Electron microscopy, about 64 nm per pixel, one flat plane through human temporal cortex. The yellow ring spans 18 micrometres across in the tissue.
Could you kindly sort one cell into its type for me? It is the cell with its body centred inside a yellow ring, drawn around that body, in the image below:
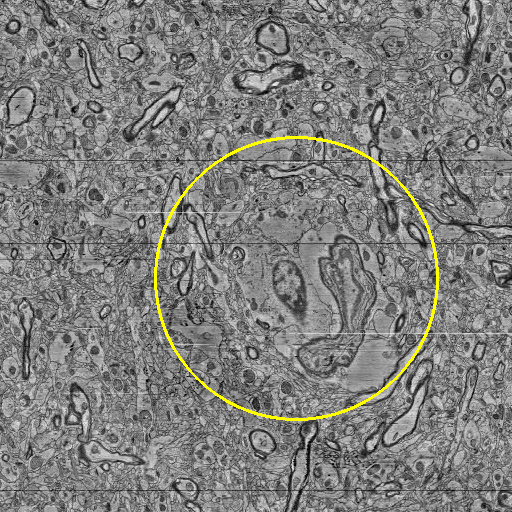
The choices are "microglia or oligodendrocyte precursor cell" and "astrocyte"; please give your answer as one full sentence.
The cell whose body lies centred in the yellow ring here is a microglial cell or oligodendrocyte precursor cell.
